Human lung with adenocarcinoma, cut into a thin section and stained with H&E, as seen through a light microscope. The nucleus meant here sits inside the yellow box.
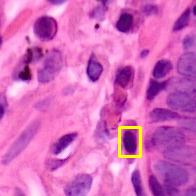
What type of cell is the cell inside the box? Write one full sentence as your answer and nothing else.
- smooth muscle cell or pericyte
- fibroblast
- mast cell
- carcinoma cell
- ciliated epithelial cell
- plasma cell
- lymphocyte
It is as a plasma cell that the cell inside the box is recorded.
